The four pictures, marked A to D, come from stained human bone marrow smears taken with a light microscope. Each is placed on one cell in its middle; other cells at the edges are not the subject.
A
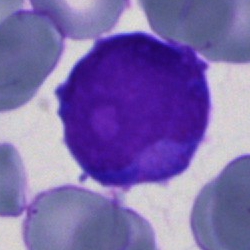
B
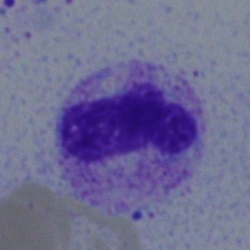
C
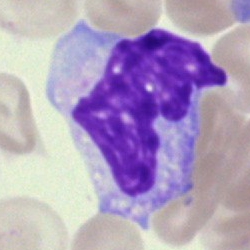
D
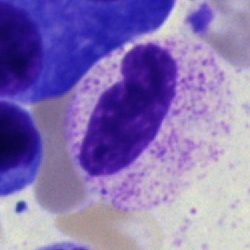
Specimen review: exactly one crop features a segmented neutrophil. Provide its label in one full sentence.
Of the cells presented, the one in crop D is a segmented neutrophil.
